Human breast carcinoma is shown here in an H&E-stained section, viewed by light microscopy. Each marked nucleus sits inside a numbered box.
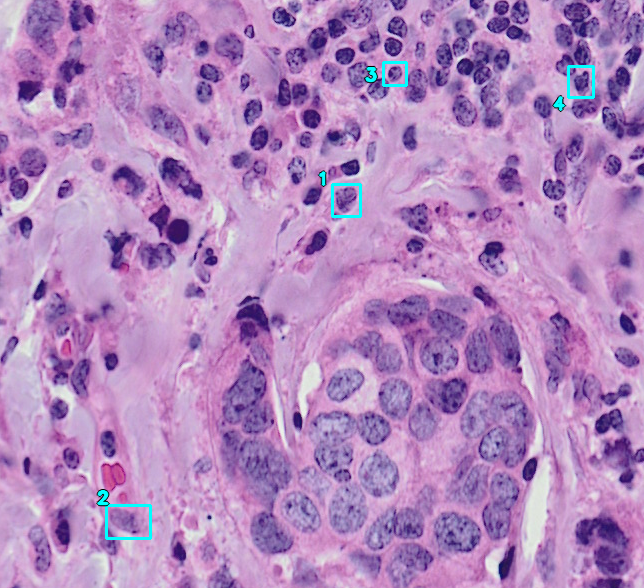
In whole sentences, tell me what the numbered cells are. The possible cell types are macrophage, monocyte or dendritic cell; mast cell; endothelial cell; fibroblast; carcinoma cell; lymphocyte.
Cell 1 is a lymphocyte, cell 2 is an endothelial cell, cell 3 is a lymphocyte and cell 4 is a lymphocyte.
